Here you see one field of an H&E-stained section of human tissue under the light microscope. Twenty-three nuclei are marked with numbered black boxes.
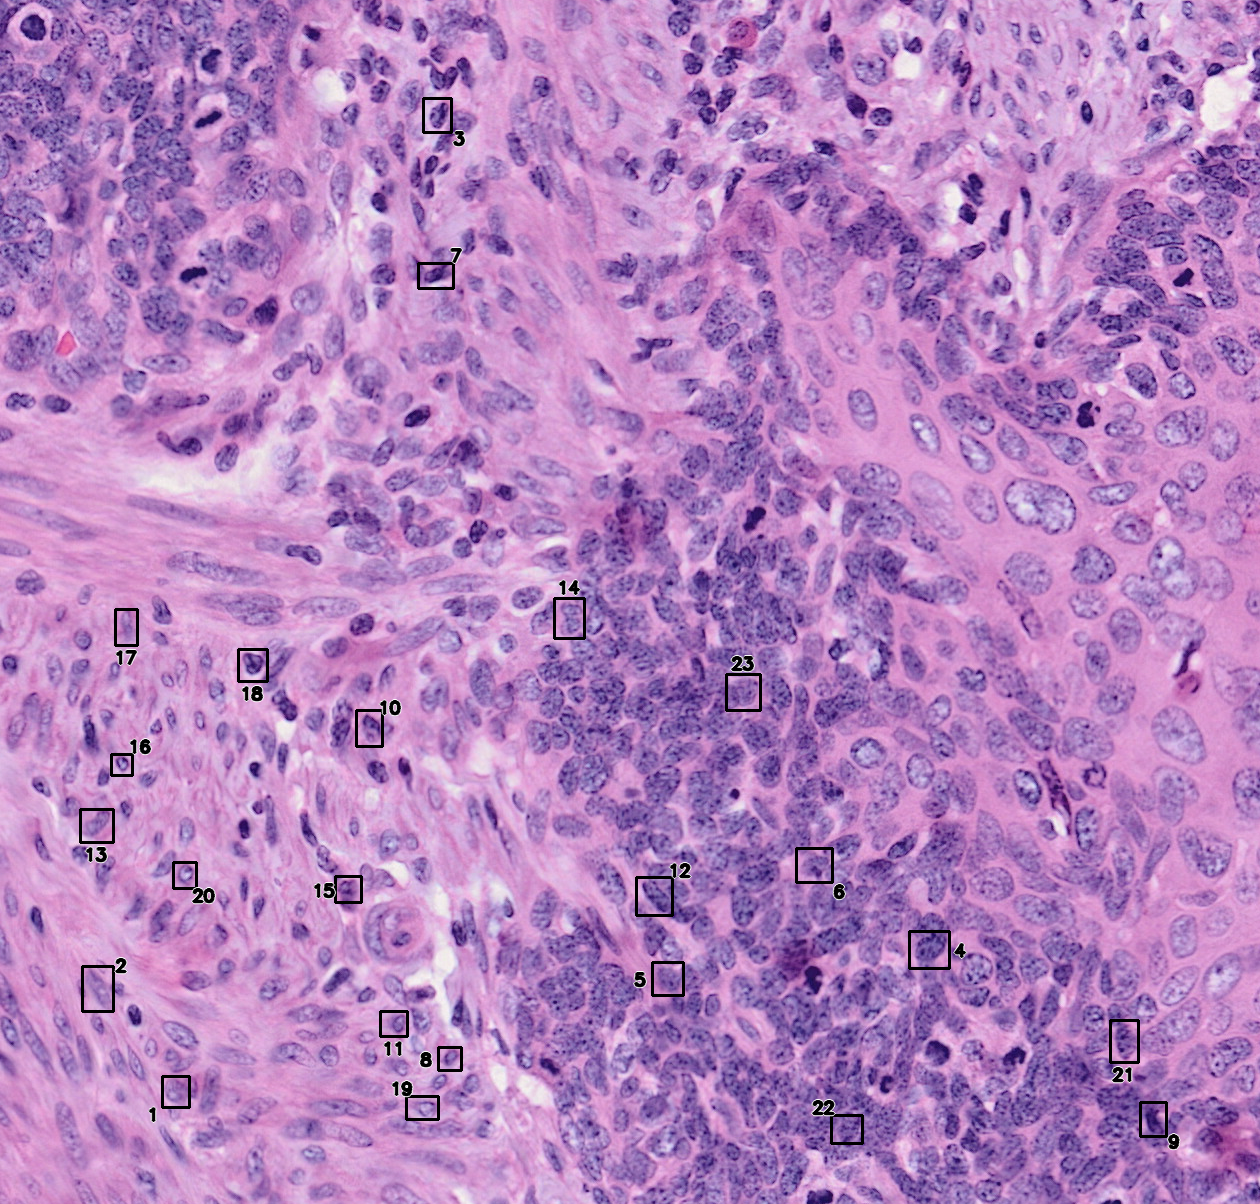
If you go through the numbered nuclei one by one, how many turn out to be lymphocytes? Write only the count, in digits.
4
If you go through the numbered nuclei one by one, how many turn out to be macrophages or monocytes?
1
